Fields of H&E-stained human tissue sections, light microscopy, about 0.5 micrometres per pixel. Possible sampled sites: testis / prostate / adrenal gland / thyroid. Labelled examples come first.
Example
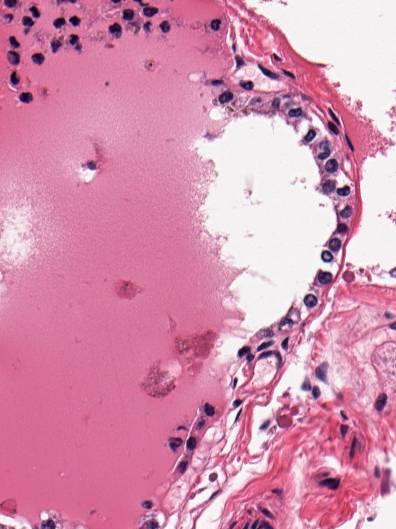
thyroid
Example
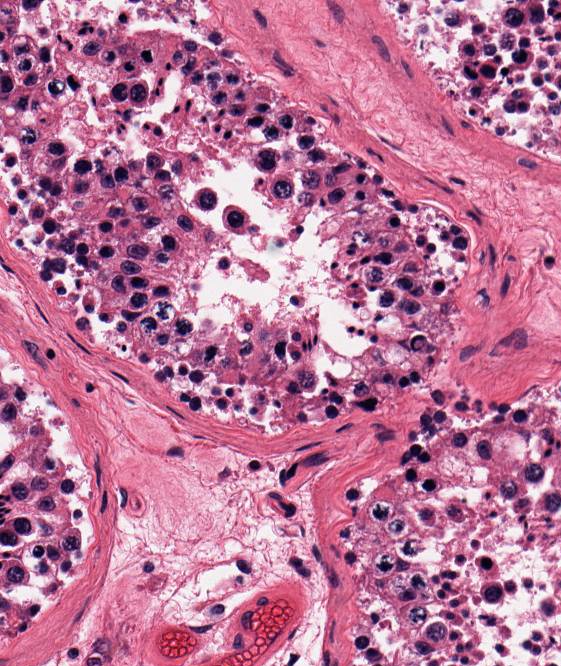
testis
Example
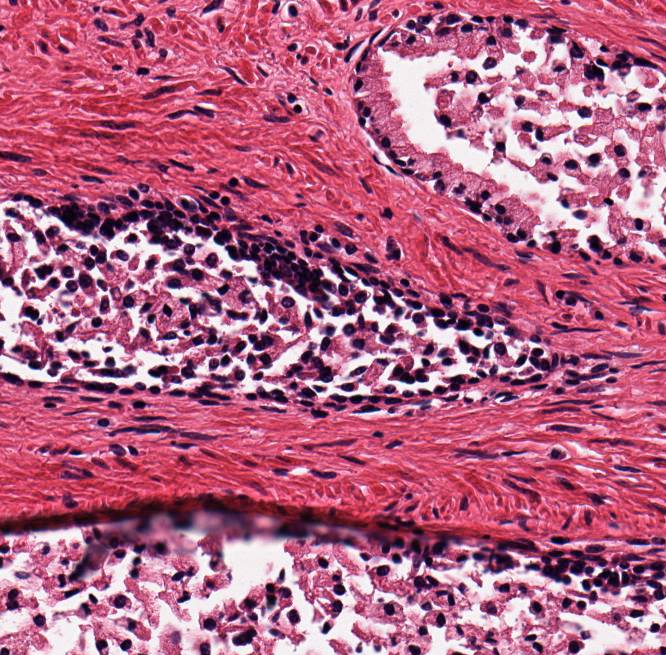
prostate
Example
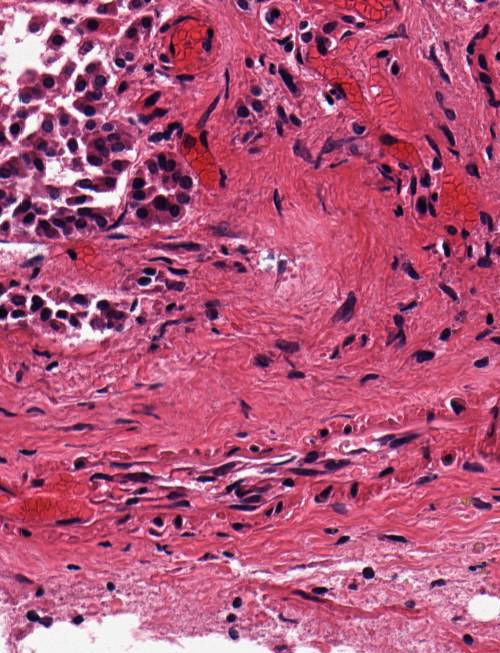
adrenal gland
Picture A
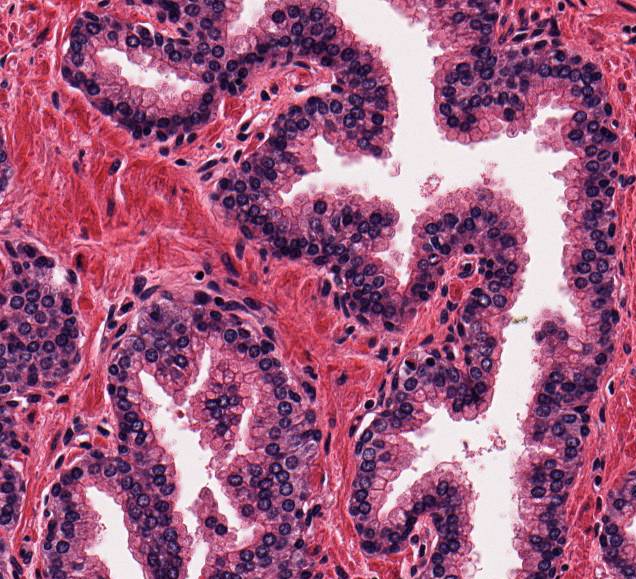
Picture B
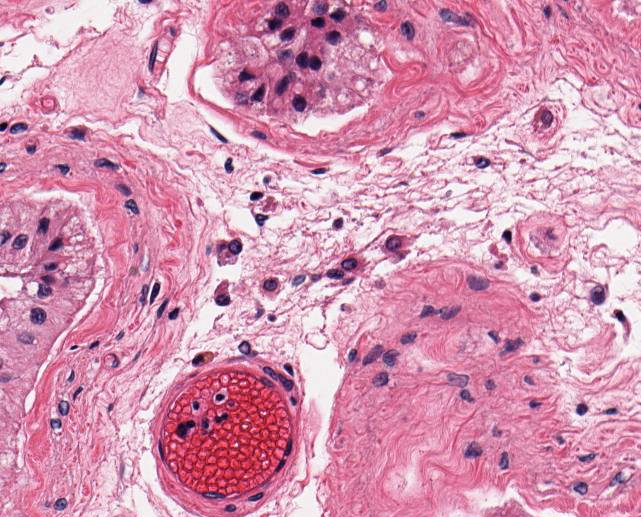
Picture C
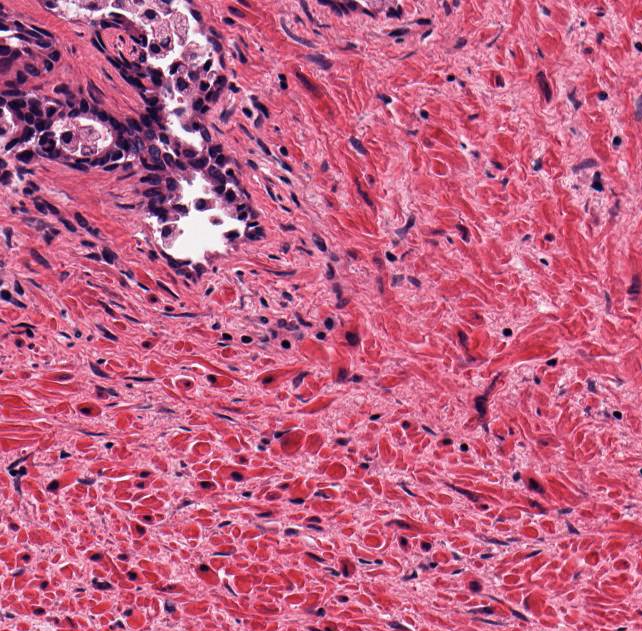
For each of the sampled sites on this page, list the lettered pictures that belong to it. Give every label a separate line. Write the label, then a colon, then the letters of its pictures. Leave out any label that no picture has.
testis: B
prostate: A, C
